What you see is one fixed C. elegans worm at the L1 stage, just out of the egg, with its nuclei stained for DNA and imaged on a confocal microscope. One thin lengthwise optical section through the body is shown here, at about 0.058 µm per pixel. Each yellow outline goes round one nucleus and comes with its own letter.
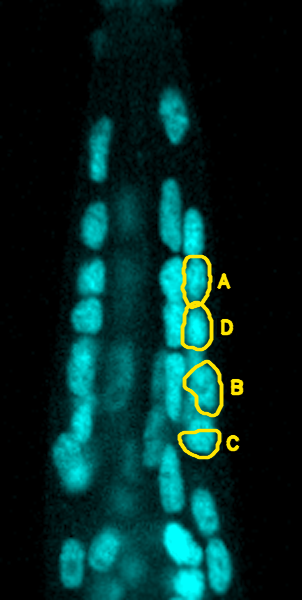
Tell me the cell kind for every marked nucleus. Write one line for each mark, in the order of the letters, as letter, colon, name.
A: hypodermal cell (hyp)
B: hypodermal cell (hyp)
C: hypodermal cell (hyp)
D: arcade cell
